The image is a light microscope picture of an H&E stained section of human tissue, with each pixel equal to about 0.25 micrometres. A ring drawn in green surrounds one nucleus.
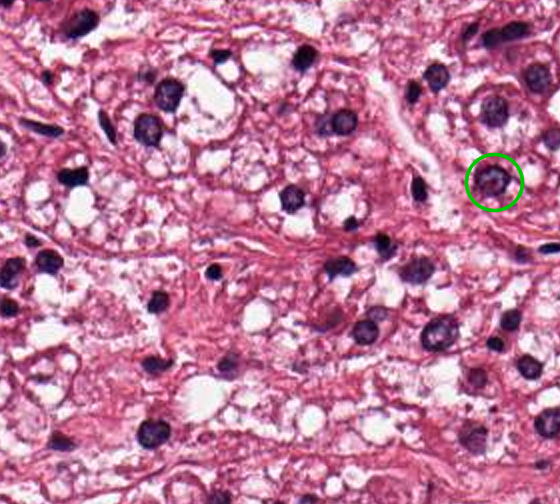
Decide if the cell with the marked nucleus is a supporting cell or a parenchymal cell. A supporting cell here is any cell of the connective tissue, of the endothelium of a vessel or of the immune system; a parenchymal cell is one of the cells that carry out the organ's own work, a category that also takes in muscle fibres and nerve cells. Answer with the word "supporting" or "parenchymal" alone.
parenchymal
